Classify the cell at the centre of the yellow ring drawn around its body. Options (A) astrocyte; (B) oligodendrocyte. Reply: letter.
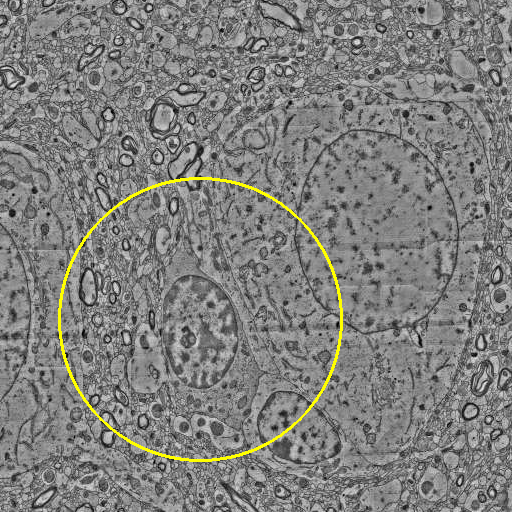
B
